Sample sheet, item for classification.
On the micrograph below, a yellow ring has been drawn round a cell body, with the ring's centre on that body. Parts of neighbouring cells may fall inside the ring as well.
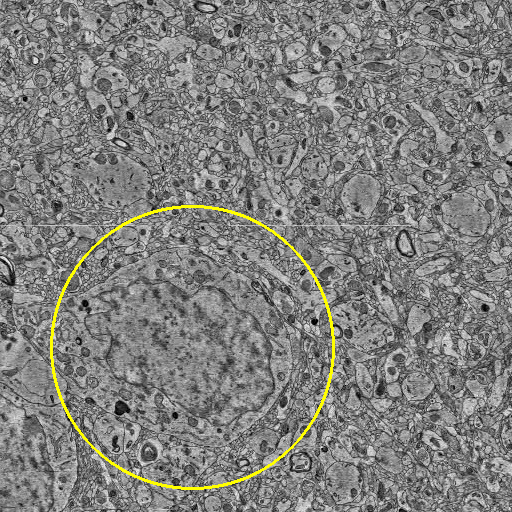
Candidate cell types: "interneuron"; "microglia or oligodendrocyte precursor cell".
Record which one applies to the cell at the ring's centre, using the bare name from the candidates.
interneuron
